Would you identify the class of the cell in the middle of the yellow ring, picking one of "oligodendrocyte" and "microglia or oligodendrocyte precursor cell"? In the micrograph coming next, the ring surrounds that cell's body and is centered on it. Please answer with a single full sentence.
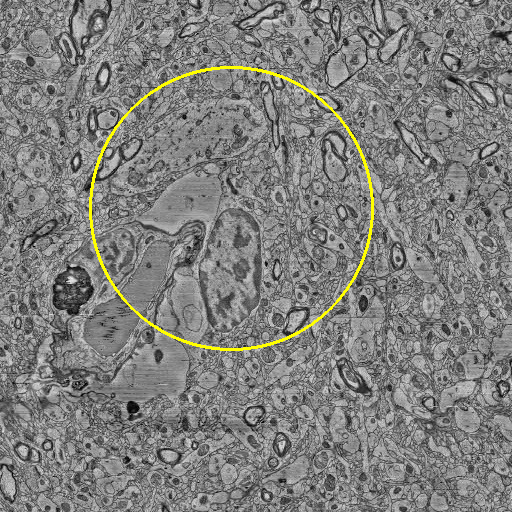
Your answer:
In the micrograph, it is a microglial cell or oligodendrocyte precursor cell whose body lies at the ring's center.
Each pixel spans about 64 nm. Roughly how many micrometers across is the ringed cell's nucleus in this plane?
Clearly longer than it is wide in this plane, the nucleus measures roughly 8 by 4 micrometres.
